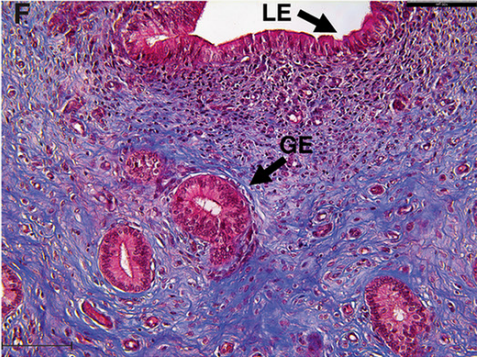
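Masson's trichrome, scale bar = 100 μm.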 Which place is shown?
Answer: Stratum compactum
